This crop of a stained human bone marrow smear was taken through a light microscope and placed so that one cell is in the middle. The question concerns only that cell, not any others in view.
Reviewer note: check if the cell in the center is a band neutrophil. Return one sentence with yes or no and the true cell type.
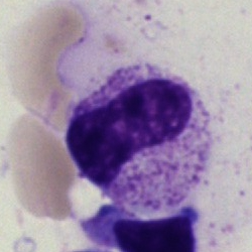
Yes, the cell positioned at the centre of the crop is a band neutrophil.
